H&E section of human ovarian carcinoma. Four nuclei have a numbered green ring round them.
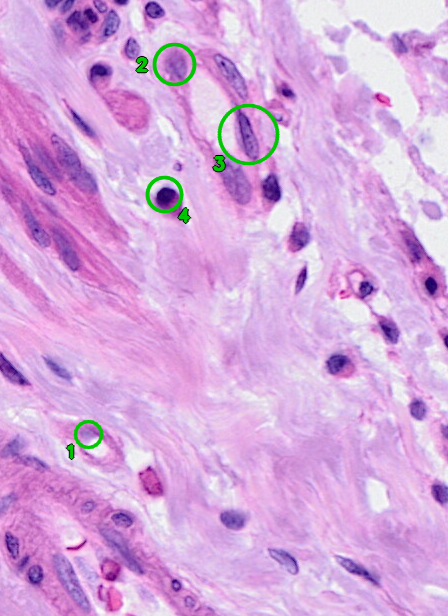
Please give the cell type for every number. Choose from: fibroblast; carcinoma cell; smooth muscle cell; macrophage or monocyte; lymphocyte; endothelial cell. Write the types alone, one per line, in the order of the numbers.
endothelial cell
endothelial cell
endothelial cell
lymphocyte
